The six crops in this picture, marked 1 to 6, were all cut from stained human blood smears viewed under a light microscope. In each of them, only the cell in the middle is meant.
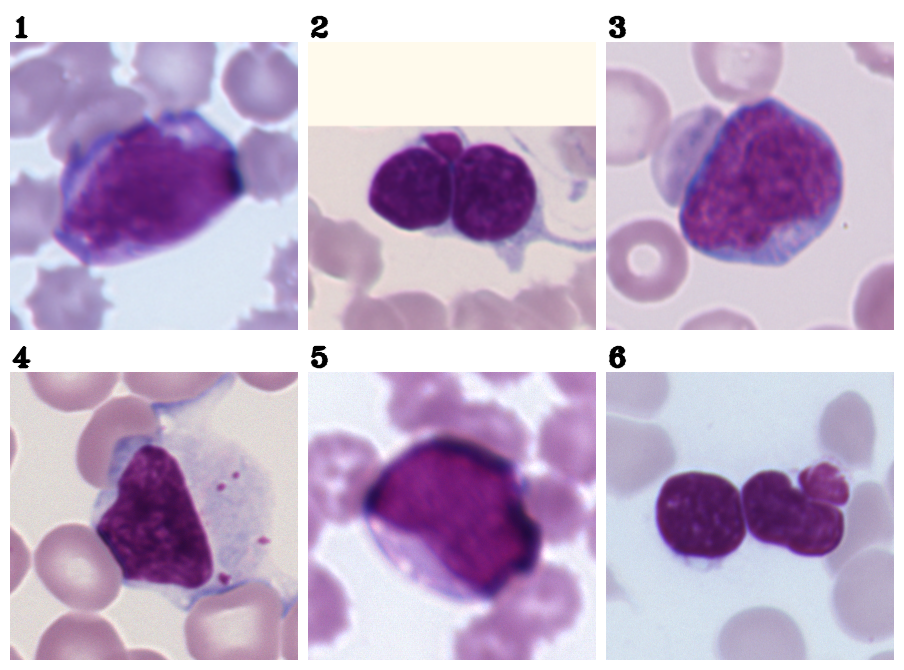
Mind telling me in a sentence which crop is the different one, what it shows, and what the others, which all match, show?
Crop 4 is the different one, a large granular lymphocyte, while the rest are myeloblasts.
